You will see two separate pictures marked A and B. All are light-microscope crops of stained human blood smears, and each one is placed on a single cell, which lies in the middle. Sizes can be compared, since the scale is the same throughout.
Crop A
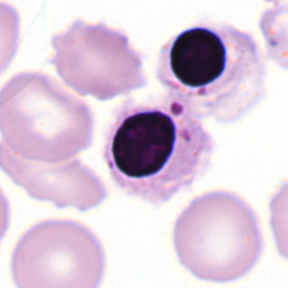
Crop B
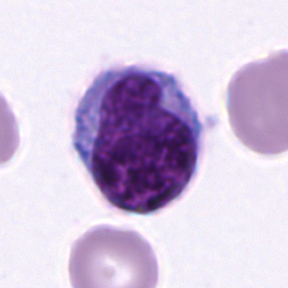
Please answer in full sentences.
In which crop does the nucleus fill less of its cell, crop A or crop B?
It is the cell in crop A that is filled less by its nucleus.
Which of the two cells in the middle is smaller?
It is the cell in crop A; the cell in crop B has about 2 times its area.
